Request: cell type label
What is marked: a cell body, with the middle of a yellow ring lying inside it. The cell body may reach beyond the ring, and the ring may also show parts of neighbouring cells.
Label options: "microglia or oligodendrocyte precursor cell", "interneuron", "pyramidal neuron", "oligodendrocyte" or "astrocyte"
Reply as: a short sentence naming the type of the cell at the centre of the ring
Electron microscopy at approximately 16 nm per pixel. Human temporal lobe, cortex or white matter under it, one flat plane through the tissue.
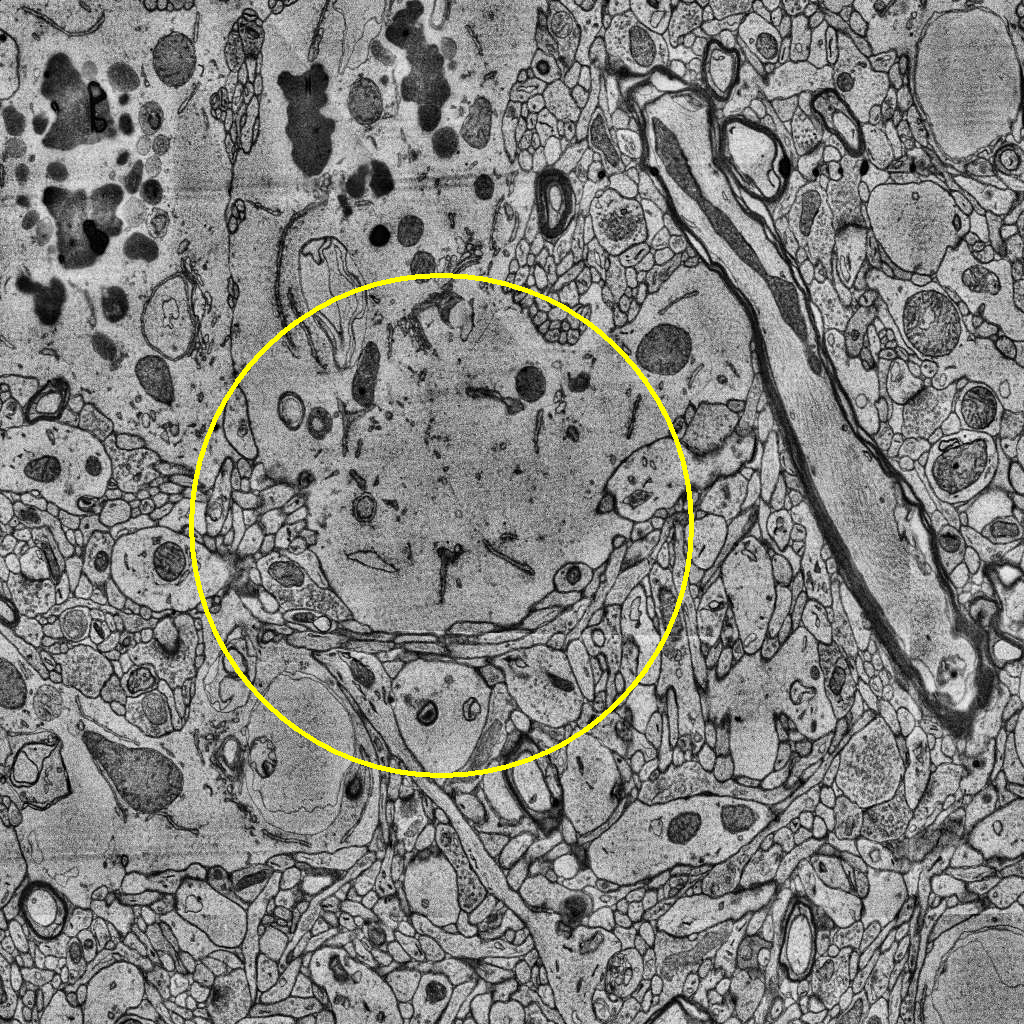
The marked cell body is that of an astrocyte.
